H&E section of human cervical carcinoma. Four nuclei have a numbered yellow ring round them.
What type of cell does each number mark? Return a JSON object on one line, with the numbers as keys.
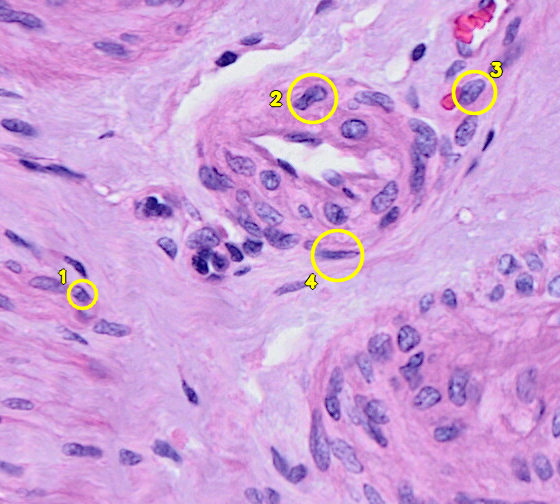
{"1": "smooth muscle cell", "2": "smooth muscle cell", "3": "endothelial cell", "4": "smooth muscle cell"}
